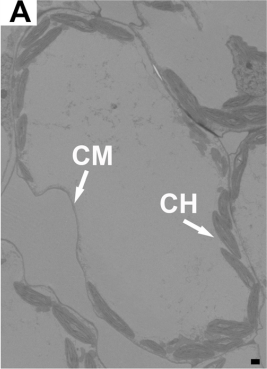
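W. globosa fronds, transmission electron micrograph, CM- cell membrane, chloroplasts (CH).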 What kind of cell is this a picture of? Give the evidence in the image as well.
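Mature mesophyll cells. A large cell whose interior is almost empty, occupied by a central vacuole. Many lens-shaped chloroplasts lie in a thin layer along the cell periphery.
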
